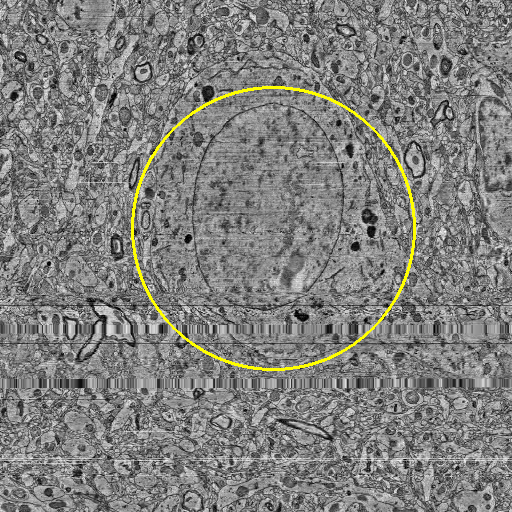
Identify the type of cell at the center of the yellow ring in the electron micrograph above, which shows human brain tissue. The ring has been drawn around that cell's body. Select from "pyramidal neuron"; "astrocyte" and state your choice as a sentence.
The yellow ring is centered on the body of a pyramidal neuron.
